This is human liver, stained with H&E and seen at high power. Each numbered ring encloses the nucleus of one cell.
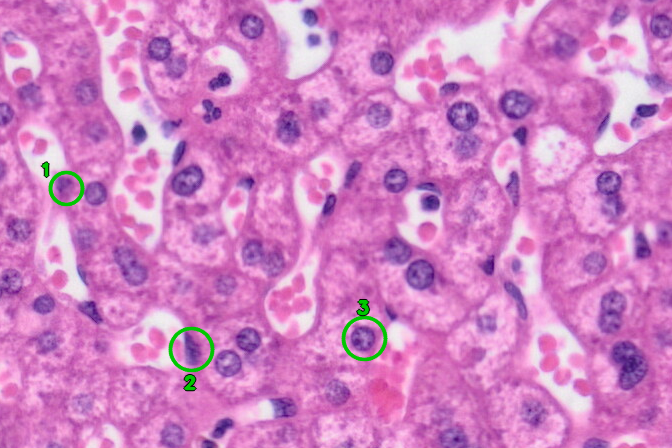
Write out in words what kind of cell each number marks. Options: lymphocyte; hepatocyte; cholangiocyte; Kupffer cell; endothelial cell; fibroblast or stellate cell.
Cell 1 is a Kupffer cell, cell 2 is an endothelial cell and cell 3 is a hepatocyte.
